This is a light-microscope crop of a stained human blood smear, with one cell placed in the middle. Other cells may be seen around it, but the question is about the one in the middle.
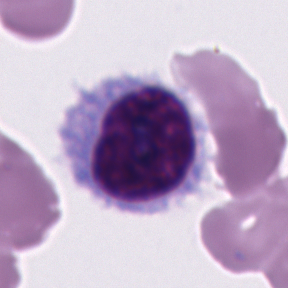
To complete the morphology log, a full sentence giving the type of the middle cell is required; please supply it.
In short, the cell at the center is a hairy cell.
